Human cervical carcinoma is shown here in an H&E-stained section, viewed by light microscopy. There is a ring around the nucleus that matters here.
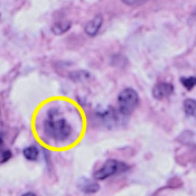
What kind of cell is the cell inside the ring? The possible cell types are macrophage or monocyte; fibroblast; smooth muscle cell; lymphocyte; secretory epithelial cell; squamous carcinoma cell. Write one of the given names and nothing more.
macrophage or monocyte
